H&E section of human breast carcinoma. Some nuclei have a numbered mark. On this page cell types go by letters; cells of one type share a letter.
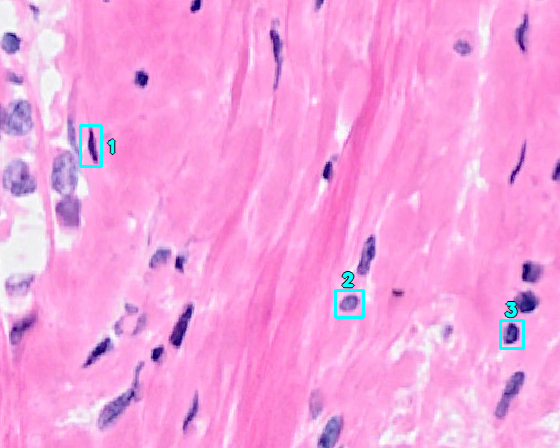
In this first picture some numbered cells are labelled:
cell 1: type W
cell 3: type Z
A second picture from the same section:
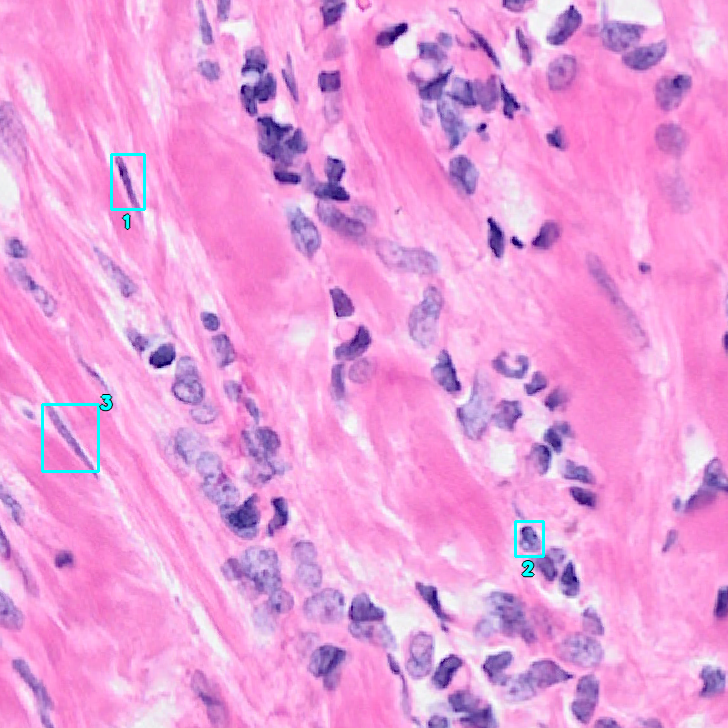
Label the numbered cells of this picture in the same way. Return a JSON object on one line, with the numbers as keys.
{"1": "type W", "2": "type Z", "3": "type W"}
